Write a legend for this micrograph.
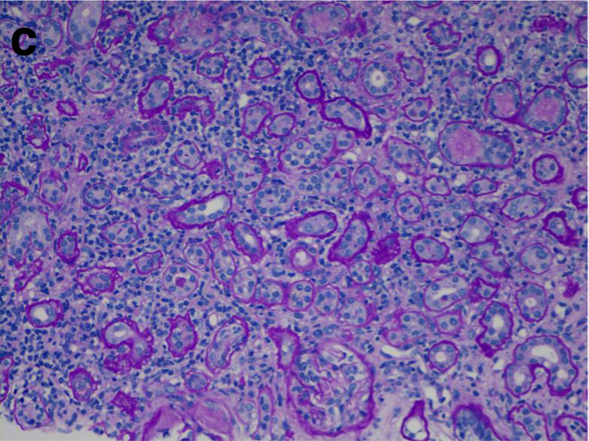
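Kidney cortex with numerous tubules set in a cellular interstitium containing many small round inflammatory cells. The tubules are small and closely spaced, each outlined by a magenta basement membrane, some thickened and wrinkled. Tubular epithelial cells have round nuclei and pale cytoplasm, and several lumina are narrow. Between the tubules, dark-nucleated infiltrating cells fill the interstitial spaces throughout the field.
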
